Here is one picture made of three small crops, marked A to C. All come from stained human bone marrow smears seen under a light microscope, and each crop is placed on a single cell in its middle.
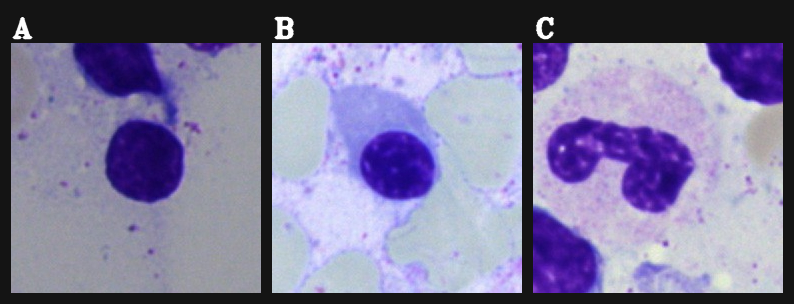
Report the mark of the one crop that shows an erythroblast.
B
